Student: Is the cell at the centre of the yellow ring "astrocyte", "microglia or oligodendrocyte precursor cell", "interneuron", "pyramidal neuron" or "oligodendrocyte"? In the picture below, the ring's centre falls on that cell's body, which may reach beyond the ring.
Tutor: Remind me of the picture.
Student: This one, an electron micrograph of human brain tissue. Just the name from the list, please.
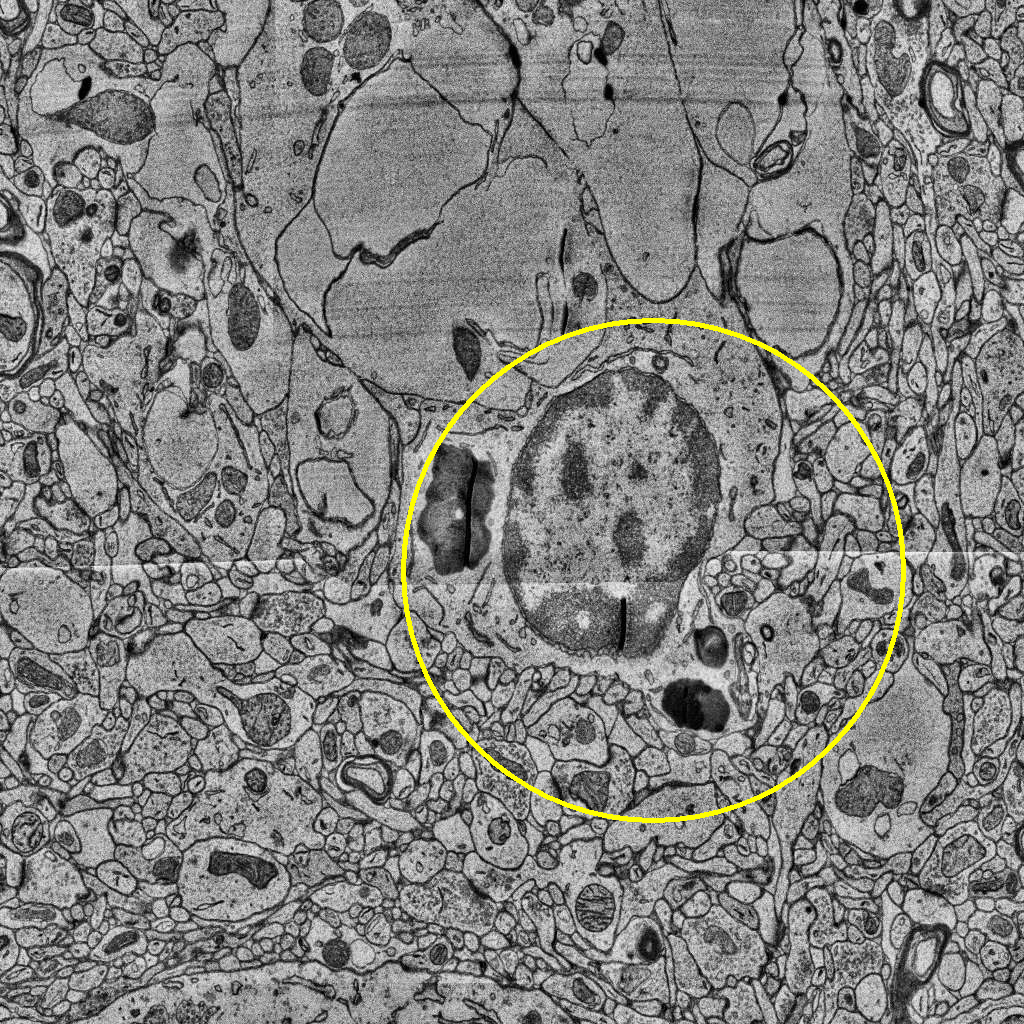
microglia or oligodendrocyte precursor cell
